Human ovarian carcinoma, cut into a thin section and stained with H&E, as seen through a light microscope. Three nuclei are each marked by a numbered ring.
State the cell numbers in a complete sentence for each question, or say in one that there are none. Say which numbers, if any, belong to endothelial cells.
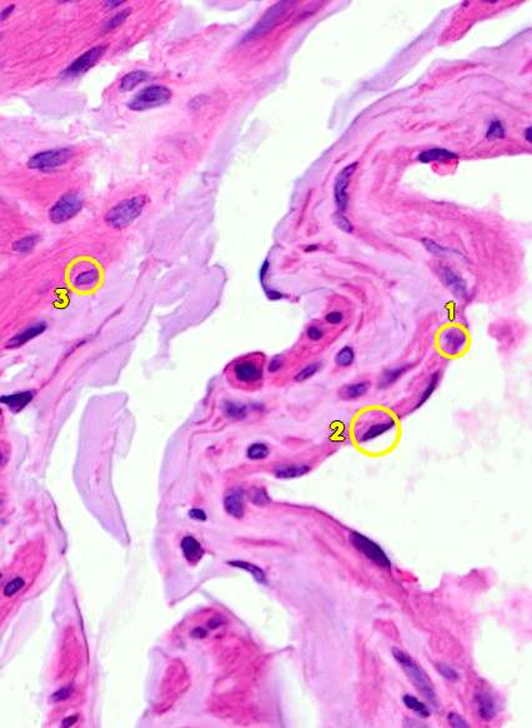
The cells tagged with numbers 1 and 2 are endothelial cells.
